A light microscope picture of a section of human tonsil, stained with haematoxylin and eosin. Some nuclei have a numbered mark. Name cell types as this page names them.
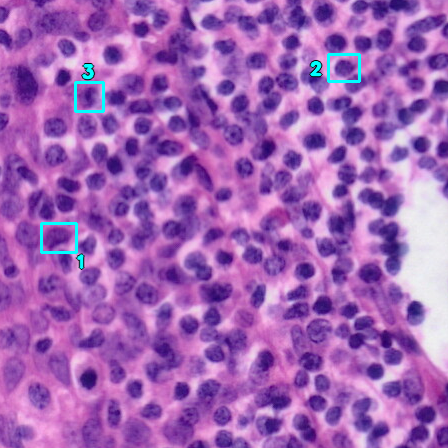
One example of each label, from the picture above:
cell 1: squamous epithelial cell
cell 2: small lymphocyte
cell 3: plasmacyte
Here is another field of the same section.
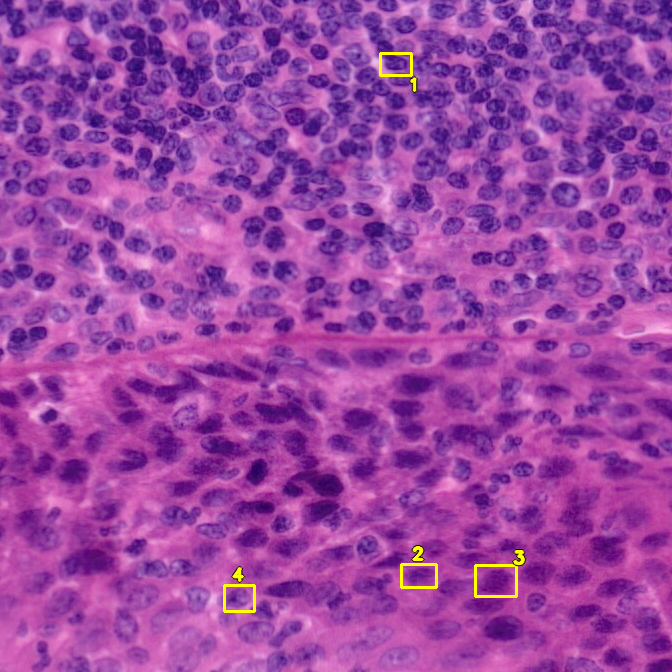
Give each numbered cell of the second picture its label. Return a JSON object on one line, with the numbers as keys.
{"1": "small lymphocyte", "2": "squamous epithelial cell", "3": "squamous epithelial cell", "4": "squamous epithelial cell"}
